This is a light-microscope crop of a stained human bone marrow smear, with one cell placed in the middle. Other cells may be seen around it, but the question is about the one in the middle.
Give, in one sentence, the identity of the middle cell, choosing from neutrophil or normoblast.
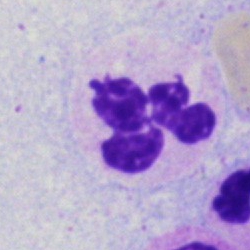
Standing at the centre of this crop is a neutrophil.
